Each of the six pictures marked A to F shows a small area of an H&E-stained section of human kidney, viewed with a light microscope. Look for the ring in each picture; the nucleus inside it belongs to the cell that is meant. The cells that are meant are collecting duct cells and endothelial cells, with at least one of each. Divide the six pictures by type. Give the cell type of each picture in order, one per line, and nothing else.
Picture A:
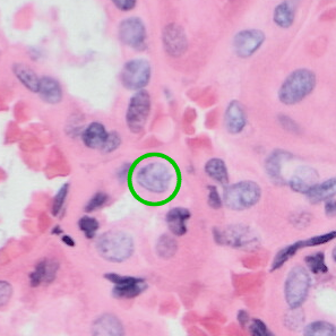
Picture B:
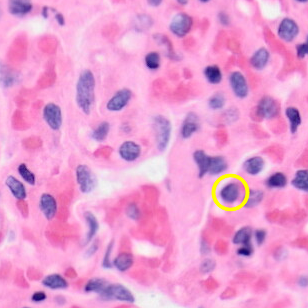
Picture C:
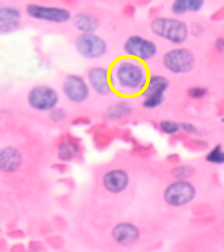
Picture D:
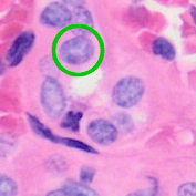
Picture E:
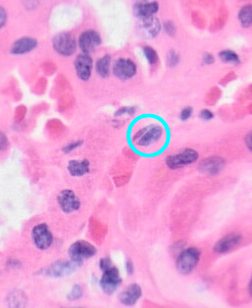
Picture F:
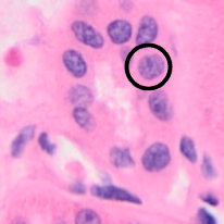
collecting duct cell
endothelial cell
collecting duct cell
collecting duct cell
endothelial cell
collecting duct cell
